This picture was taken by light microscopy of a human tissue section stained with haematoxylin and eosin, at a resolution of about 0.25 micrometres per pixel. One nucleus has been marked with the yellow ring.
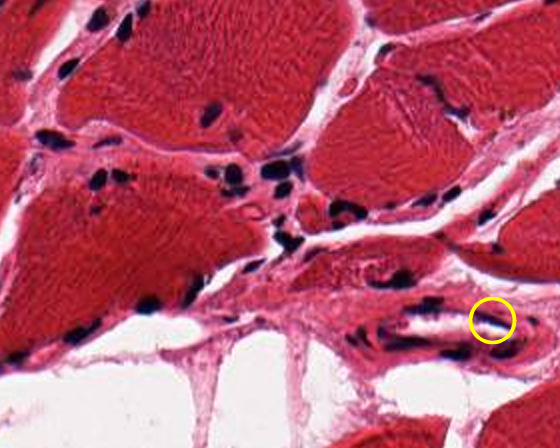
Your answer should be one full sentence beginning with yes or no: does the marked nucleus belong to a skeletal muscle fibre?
No, the marked nucleus belongs to a supporting cell, and a skeletal muscle fibre is not its owner.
